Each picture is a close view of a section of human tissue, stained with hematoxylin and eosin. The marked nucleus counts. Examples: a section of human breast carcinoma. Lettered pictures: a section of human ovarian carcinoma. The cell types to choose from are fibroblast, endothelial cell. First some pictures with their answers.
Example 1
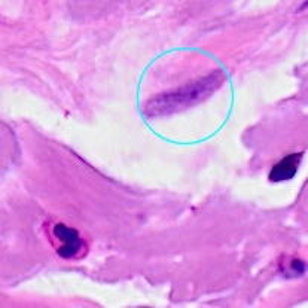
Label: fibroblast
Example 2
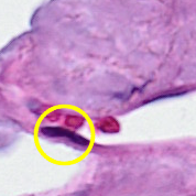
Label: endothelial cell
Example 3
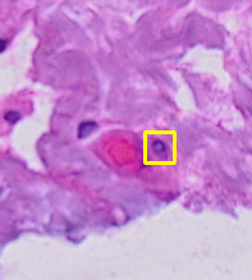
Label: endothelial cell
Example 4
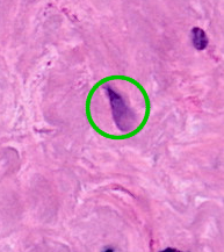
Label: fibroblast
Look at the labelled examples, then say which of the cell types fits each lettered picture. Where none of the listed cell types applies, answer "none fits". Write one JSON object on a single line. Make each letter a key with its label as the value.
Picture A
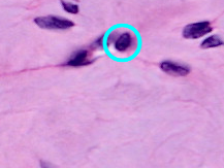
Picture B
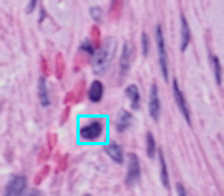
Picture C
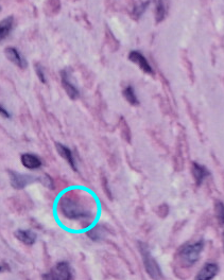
{"A": "none fits", "B": "none fits", "C": "endothelial cell"}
